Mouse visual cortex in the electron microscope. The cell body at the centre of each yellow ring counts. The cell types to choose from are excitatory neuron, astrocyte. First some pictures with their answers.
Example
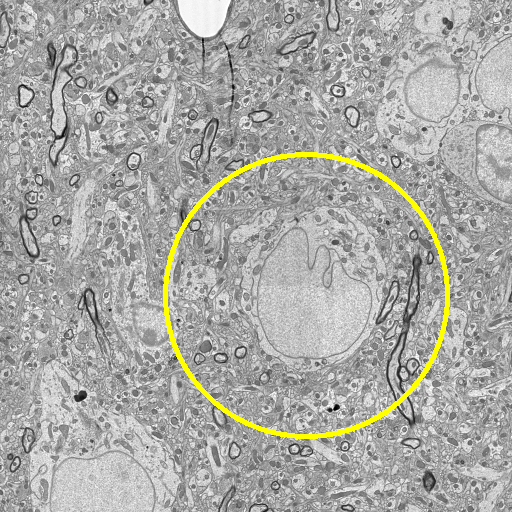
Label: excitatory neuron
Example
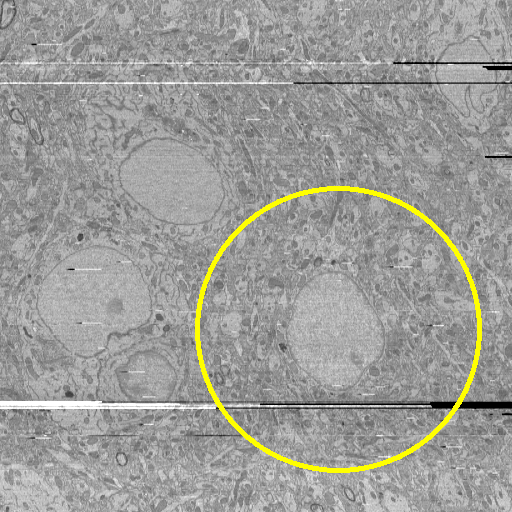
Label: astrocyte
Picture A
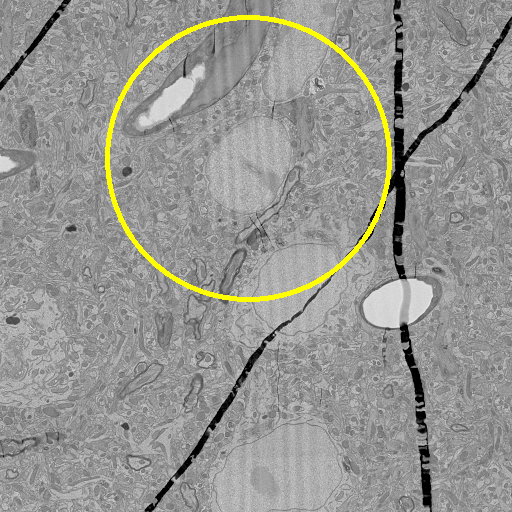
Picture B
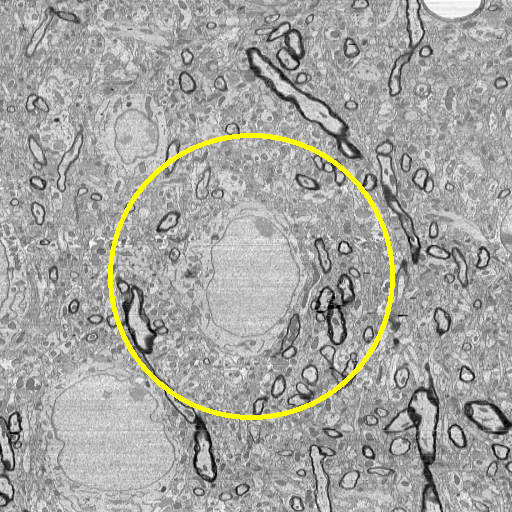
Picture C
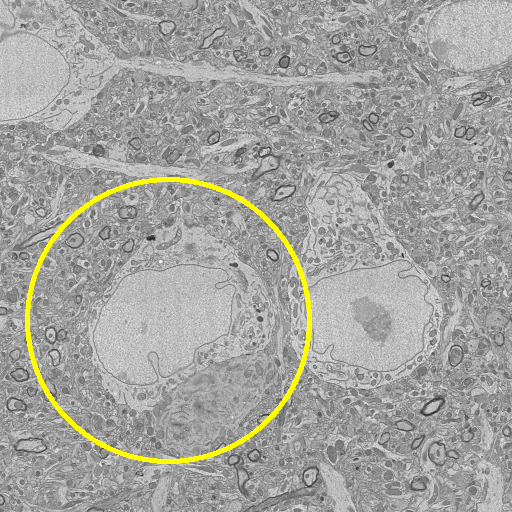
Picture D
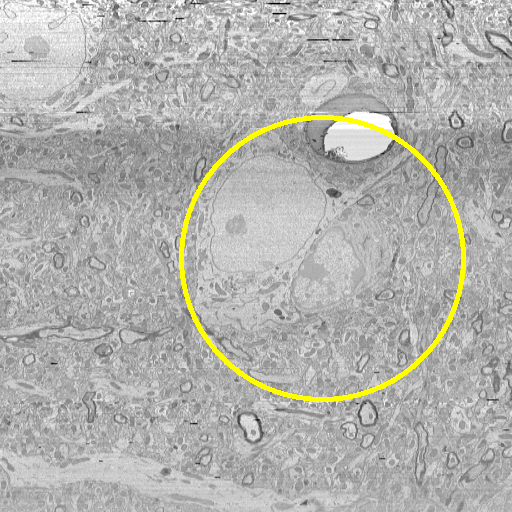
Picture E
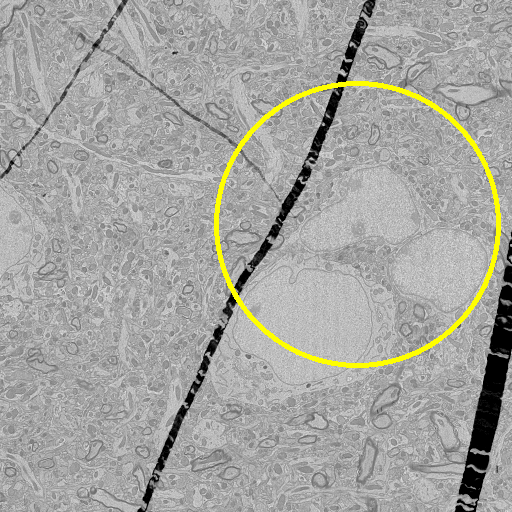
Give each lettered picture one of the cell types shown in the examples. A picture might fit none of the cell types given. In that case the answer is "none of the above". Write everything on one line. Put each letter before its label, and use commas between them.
A astrocyte, B excitatory neuron, C excitatory neuron, D none of the above, E astrocyte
